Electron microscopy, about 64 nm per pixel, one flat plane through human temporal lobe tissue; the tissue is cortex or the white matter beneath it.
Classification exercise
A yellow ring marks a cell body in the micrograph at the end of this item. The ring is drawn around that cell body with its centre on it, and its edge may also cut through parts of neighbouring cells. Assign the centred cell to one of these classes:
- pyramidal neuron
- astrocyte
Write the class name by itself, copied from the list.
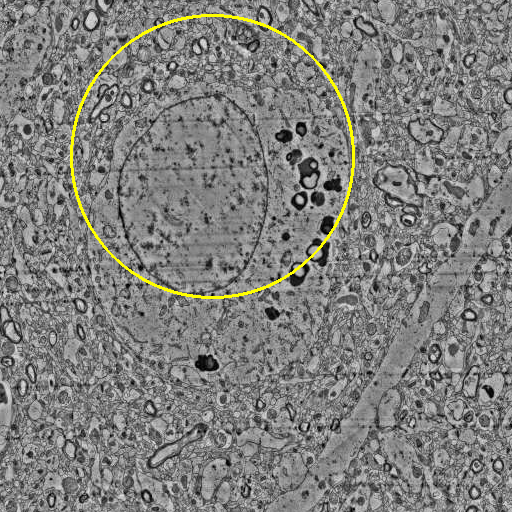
pyramidal neuron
